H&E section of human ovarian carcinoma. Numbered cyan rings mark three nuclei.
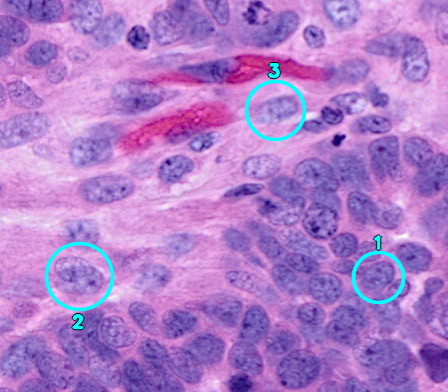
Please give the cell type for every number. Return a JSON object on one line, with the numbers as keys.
{"1": "carcinoma cell", "2": "fibroblast", "3": "fibroblast"}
